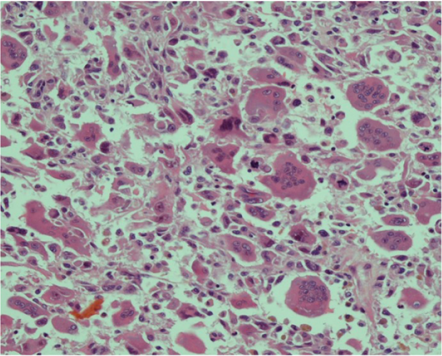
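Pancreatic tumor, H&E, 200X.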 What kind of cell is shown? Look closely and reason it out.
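Pleomorphic neoplastic mononuclear cells. Numerous single-nucleated cells with nuclei varying in size and shape. These cells lie scattered between larger multinucleated cells.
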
